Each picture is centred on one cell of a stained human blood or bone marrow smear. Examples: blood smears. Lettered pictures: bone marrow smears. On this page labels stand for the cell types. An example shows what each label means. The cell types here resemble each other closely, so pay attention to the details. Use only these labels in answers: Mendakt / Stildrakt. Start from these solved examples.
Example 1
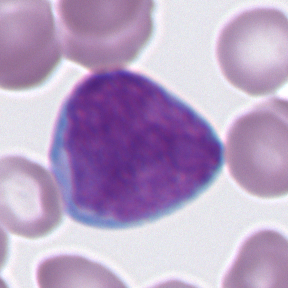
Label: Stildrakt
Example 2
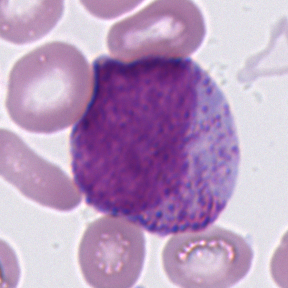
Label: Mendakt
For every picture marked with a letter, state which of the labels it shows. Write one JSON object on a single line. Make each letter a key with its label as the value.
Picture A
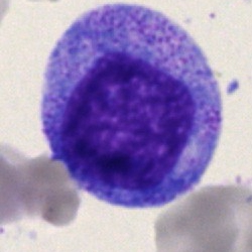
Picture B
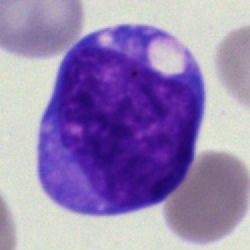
{"A": "Mendakt", "B": "Stildrakt"}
